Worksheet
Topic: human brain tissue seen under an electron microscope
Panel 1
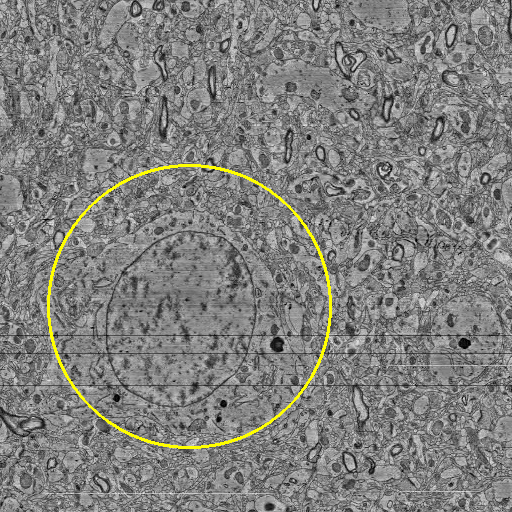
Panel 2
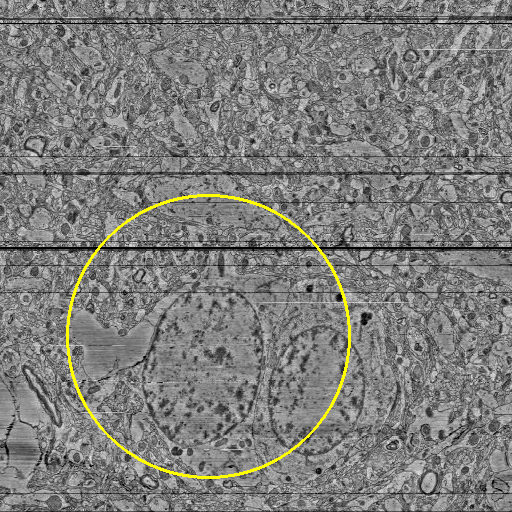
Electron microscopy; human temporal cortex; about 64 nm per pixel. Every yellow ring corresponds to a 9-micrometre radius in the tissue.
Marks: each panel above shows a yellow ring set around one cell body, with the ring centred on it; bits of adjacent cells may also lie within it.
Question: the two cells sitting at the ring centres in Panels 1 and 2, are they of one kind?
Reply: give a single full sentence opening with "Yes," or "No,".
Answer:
No, the two ring-centre cells in Panel 1 and Panel 2 are of two kinds.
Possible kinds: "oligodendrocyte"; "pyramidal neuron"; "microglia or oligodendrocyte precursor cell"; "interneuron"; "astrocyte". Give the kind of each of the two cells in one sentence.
The cell in the second picture is an astrocyte, and that in the first is a pyramidal neuron.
